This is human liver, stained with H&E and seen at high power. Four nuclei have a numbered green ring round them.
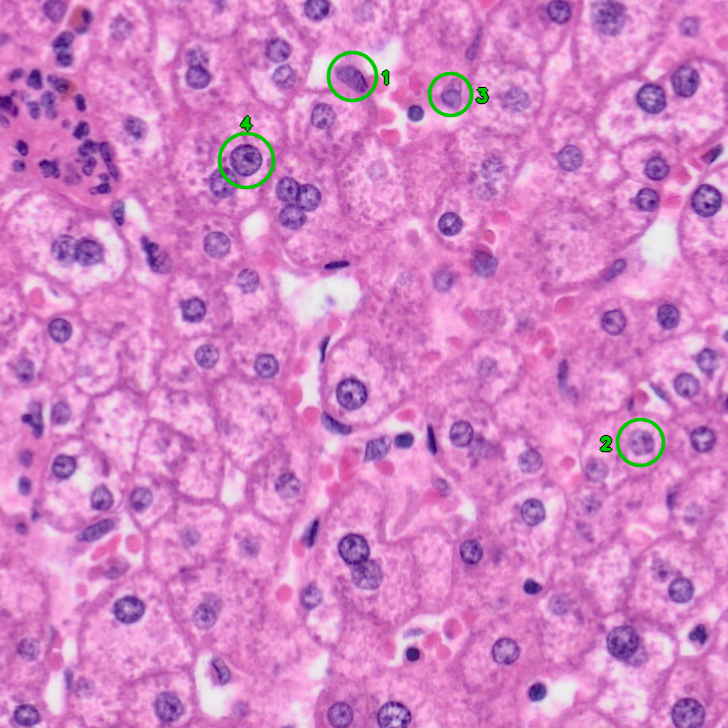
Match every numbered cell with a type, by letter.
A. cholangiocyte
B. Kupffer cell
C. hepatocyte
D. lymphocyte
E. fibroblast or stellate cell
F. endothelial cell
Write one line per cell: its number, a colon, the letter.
1: B
2: C
3: B
4: C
